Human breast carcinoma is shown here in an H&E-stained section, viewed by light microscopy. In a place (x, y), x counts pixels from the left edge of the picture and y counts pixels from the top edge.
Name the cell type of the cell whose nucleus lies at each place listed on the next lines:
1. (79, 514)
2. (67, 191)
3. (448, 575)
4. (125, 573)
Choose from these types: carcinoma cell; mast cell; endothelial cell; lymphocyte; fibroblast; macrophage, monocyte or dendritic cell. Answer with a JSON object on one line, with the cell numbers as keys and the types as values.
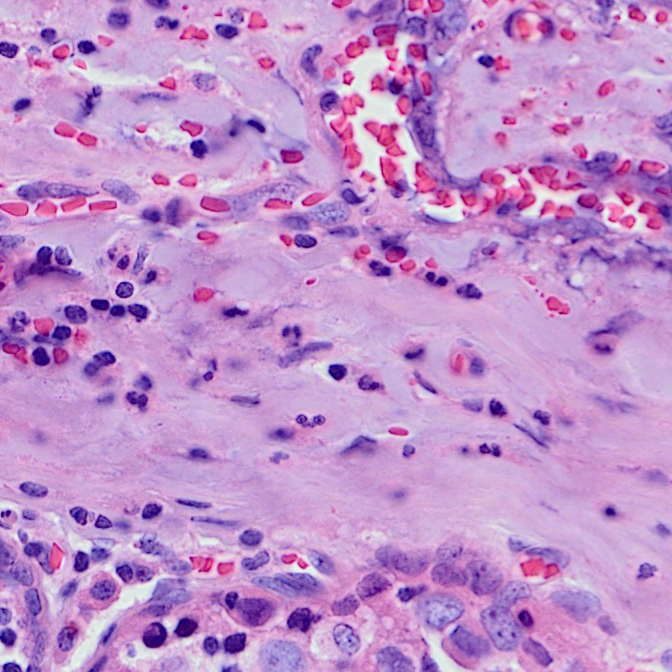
{"1": "lymphocyte", "2": "endothelial cell", "3": "carcinoma cell", "4": "lymphocyte"}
